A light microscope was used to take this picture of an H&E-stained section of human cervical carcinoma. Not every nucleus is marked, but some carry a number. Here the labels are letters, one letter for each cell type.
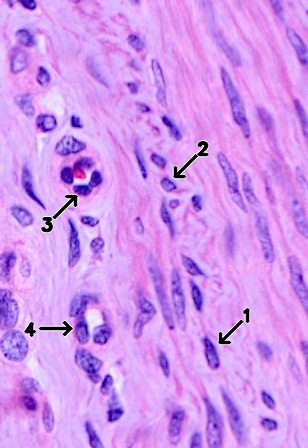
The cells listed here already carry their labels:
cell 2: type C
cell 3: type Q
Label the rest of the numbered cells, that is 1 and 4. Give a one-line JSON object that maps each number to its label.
{"1": "type C", "4": "type Q"}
